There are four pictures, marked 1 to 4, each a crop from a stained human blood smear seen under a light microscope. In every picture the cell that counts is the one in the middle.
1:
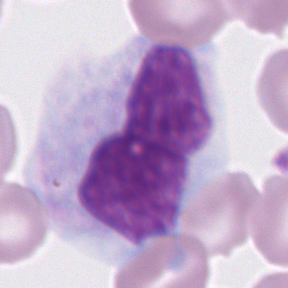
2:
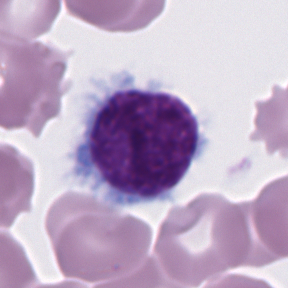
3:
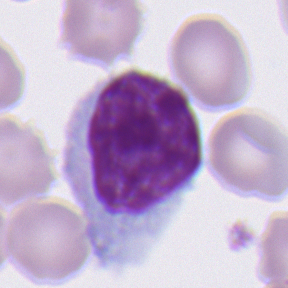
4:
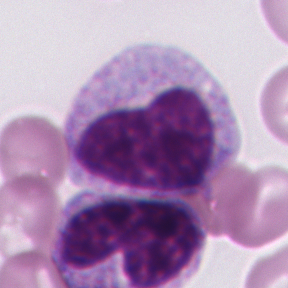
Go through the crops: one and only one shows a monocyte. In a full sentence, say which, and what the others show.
Crop 1 is identified as a monocyte, whereas crop 2 is a hairy cell, crop 3 is a typical lymphocyte and crop 4 is a metamyelocyte.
